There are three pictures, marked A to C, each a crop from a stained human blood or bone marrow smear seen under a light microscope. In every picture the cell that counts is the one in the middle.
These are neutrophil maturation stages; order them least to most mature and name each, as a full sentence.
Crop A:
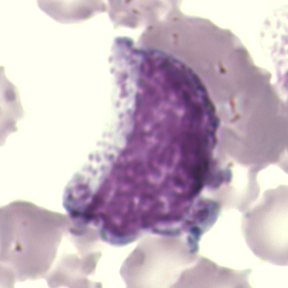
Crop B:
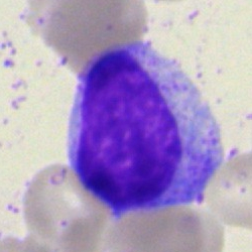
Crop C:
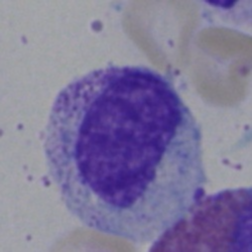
Sorted by stage of maturation, earliest first, the sequence is crop A (a promyelocyte), crop B (a myelocyte) and crop C (a metamyelocyte).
